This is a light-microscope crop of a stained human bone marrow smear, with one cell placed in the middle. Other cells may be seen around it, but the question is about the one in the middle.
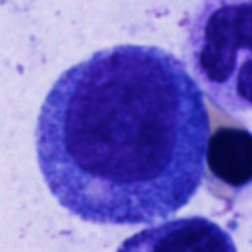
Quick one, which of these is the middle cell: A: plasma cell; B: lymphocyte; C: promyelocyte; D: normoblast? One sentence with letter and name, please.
Since the middle cell is a promyelocyte, option C is the right one.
